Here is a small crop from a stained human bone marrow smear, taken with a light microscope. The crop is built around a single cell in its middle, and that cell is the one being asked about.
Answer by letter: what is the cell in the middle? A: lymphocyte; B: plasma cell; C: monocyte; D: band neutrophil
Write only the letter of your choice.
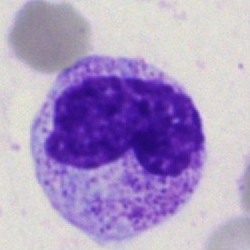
D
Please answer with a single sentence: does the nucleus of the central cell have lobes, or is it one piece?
The nucleus amounts to one compact mass with a round, oval or kidney-shaped outline.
